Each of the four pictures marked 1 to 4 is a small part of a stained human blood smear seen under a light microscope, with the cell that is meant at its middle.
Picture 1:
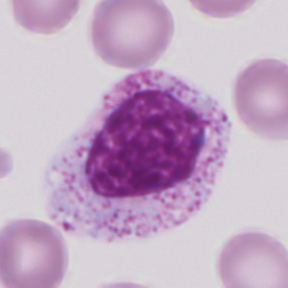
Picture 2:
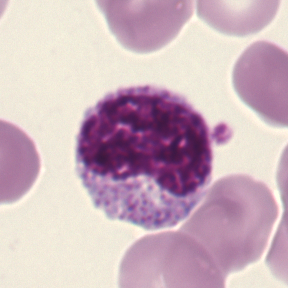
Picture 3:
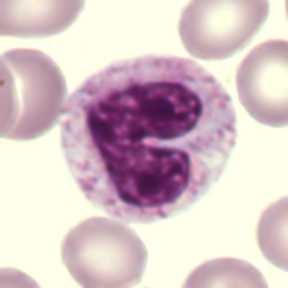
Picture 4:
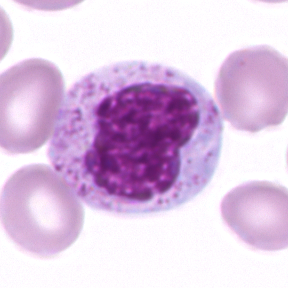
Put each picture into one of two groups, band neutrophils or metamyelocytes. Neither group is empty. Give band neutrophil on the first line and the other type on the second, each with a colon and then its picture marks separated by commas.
band neutrophil: 3
metamyelocyte: 1, 2, 4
